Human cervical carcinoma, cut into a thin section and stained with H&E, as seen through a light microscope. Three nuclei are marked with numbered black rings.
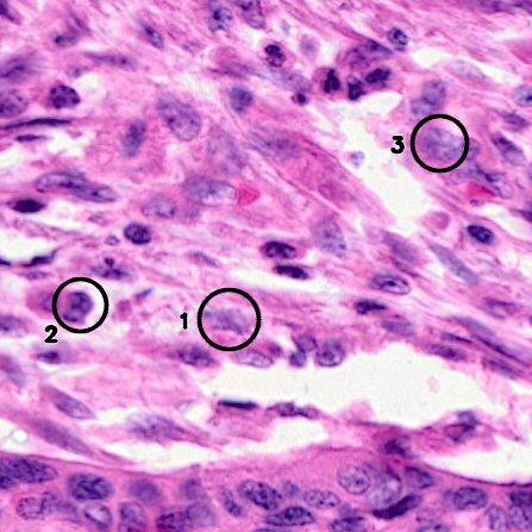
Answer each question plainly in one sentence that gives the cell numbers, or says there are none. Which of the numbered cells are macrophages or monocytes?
Cell 2 is a macrophage or monocyte, and that holds for no other numbered cell.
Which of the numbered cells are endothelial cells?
In this set of numbered cells, only cell 3 is an endothelial cell.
